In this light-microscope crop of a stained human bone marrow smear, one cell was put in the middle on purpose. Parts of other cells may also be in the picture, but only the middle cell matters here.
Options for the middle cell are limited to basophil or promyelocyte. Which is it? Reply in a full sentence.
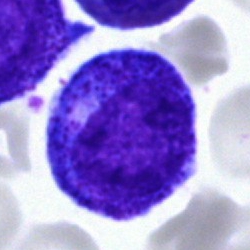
The crop's centre is taken up by a promyelocyte.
